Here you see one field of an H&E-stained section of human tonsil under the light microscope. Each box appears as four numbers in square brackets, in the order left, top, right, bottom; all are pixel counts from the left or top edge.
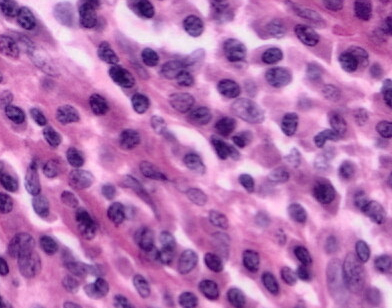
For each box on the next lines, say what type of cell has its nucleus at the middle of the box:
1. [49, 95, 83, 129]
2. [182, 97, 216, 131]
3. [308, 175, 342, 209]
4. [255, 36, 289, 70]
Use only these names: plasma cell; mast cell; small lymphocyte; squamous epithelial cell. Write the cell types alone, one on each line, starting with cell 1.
mast cell
plasma cell
plasma cell
plasma cell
